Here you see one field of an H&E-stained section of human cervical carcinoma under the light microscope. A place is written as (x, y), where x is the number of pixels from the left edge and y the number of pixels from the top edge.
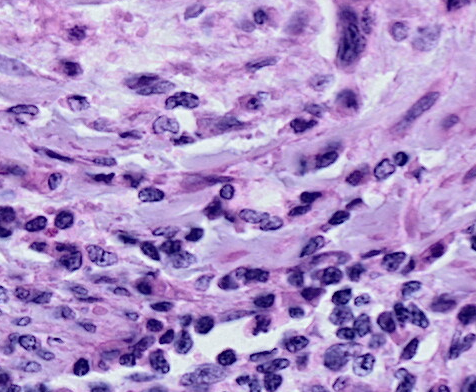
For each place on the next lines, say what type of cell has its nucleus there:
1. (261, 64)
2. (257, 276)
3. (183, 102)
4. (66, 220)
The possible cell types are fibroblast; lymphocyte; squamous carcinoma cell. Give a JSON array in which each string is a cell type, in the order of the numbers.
["fibroblast", "lymphocyte", "lymphocyte", "lymphocyte"]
